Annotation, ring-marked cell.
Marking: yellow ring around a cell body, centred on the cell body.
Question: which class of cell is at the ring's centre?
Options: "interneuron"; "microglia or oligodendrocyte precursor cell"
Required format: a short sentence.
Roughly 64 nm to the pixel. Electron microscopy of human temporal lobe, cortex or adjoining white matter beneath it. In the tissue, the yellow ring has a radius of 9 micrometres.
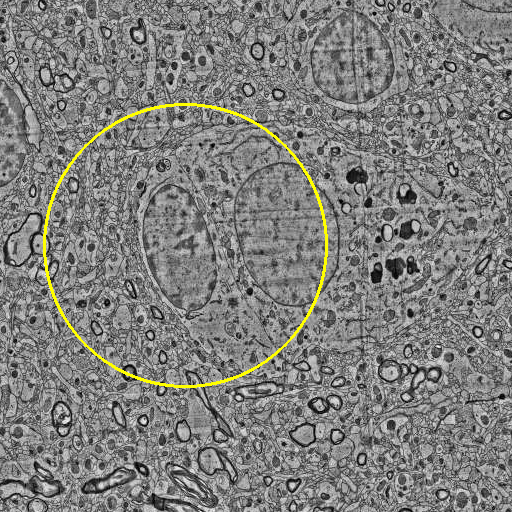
At the ring's centre is a microglial cell or oligodendrocyte precursor cell.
